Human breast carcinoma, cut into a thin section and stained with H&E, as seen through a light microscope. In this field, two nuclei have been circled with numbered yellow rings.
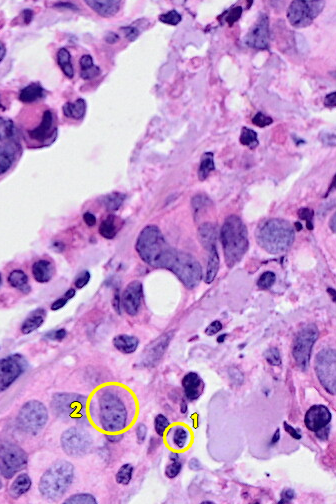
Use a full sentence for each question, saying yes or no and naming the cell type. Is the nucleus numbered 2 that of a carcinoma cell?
Yes, the cell at number 2 is a carcinoma cell.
